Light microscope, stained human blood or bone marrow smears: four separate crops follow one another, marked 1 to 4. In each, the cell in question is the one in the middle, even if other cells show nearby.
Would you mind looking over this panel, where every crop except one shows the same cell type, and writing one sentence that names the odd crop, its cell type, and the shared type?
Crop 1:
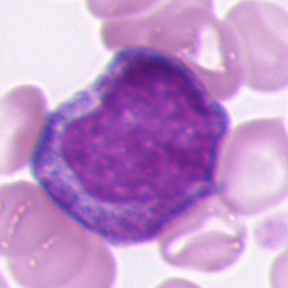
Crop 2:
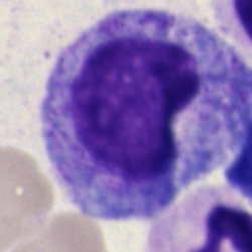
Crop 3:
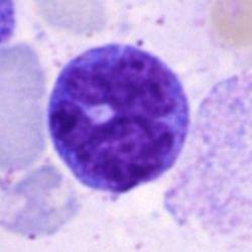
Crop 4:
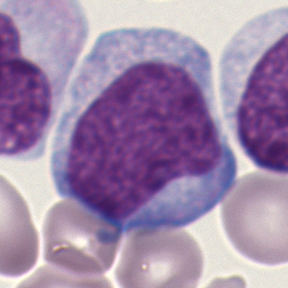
There is a monocyte in crop 3, while all the other crops show promyelocytes.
